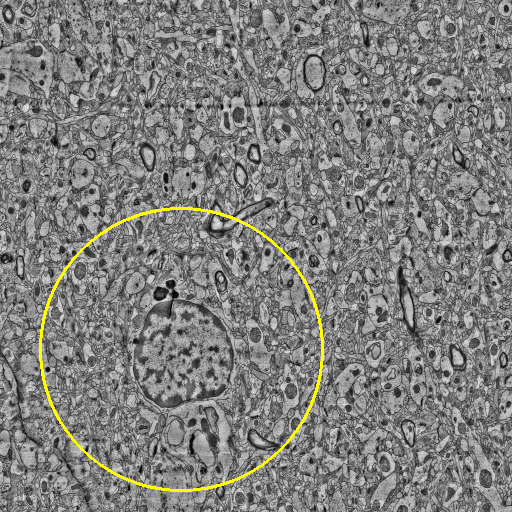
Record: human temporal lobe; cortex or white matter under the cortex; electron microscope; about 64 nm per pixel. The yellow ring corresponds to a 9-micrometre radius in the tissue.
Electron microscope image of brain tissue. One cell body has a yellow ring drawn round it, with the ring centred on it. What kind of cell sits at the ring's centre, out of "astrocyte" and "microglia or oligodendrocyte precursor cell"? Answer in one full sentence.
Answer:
It is a microglial cell or oligodendrocyte precursor cell whose cell body sits at the centre of the yellow ring.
